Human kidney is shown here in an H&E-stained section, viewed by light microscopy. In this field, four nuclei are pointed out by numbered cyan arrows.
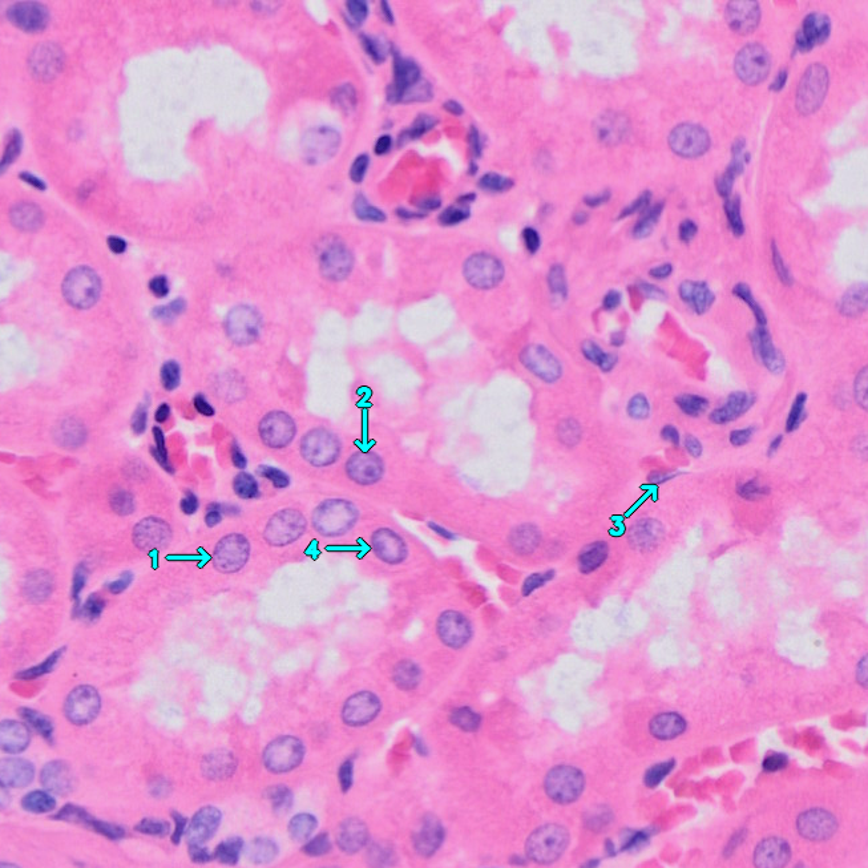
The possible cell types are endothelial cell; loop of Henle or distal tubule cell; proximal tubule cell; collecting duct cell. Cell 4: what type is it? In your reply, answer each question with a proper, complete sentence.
The numbered cell 4 is identified here as a proximal tubule cell.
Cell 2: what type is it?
The cell marked with number 2 is a proximal tubule cell.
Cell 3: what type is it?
Cell 3, among those numbered, is an endothelial cell.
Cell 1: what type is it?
Within this field of view, the cell labelled 1 is a proximal tubule cell.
